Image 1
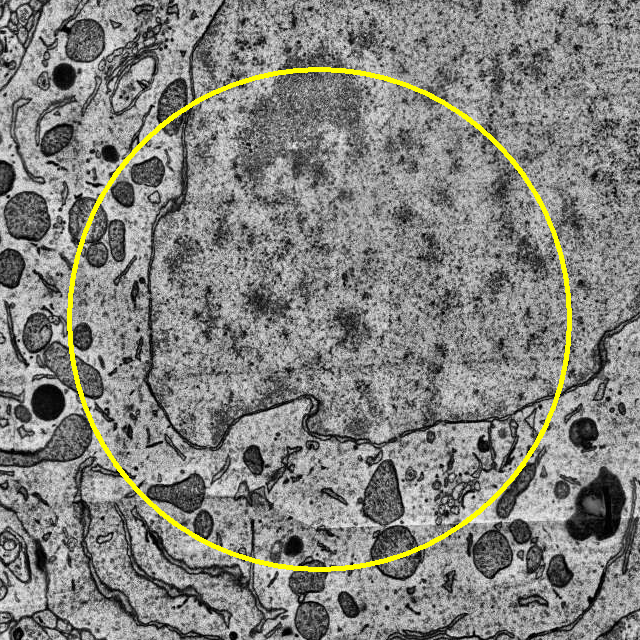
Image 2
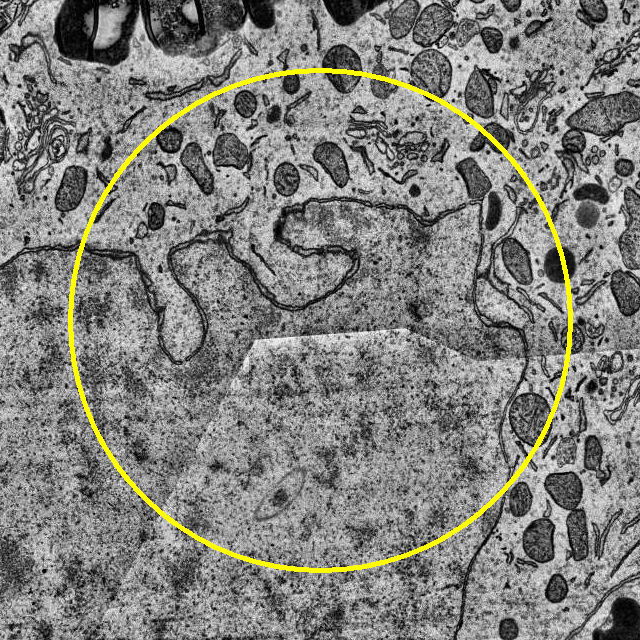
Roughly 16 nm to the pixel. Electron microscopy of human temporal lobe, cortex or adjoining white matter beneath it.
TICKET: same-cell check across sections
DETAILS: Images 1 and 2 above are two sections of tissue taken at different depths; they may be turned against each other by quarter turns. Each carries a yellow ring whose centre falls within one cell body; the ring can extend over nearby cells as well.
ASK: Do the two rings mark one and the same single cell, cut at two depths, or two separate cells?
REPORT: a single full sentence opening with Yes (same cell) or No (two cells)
Yes, only one cell is involved, and both rings mark it.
